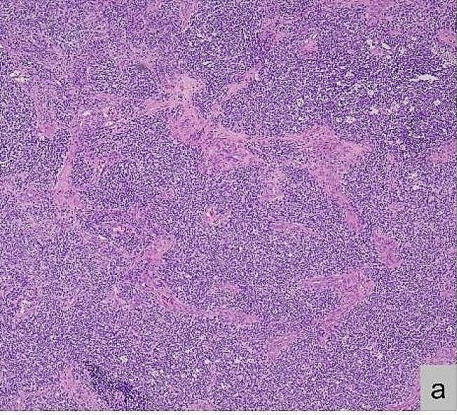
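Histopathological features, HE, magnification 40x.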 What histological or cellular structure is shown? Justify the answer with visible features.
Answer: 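Densely packed blue cells form broad sheets. Pink fibrous bands divide the cell mass into large groups.
Answer: large nests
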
